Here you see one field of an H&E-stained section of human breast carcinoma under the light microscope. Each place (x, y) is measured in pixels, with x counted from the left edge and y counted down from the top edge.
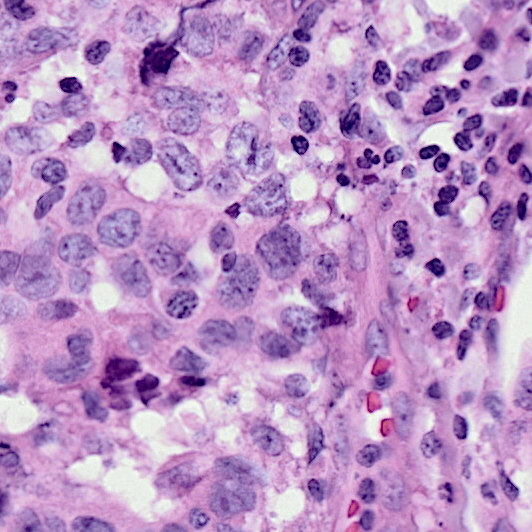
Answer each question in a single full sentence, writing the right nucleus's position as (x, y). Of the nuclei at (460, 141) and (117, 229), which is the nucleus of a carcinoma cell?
The pair contains one nucleus of a carcinoma cell, namely the one at (117, 229).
